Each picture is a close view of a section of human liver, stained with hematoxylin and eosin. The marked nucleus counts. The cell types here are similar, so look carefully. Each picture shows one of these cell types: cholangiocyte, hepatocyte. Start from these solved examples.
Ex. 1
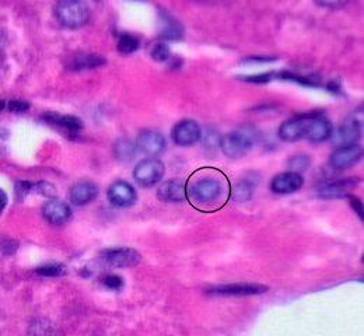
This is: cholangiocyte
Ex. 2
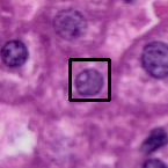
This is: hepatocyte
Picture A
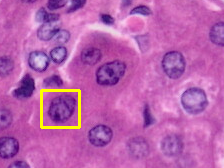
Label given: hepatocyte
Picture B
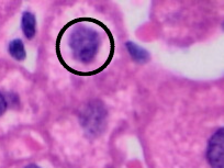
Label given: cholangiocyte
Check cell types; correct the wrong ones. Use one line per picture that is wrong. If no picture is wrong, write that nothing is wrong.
B is labelled cholangiocyte; correct label: hepatocyte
